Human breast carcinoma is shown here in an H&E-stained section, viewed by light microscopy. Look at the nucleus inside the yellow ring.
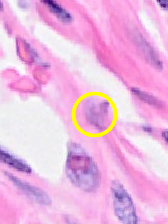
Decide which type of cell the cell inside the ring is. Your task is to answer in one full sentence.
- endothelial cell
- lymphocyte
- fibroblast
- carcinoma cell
It is as an endothelial cell that the cell inside the ring is classified.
